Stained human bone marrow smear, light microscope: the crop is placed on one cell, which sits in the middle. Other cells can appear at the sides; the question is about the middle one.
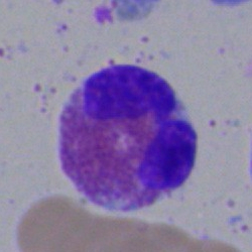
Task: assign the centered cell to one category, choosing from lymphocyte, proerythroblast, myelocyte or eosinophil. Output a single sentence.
Whatever else lies nearby, the middle cell is an eosinophil.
